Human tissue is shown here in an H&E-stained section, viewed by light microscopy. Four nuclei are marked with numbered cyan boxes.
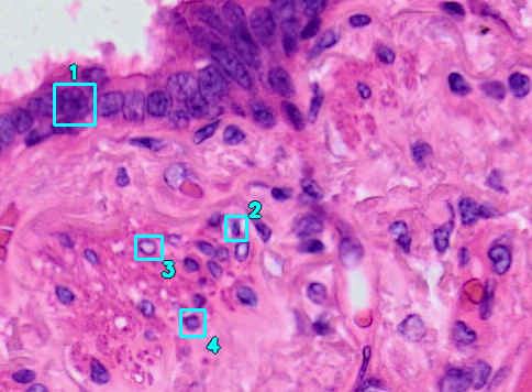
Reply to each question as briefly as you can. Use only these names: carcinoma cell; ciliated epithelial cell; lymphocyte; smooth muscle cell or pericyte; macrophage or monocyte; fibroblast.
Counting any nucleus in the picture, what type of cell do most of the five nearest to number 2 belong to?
smooth muscle cell or pericyte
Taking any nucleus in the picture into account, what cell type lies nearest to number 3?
smooth muscle cell or pericyte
